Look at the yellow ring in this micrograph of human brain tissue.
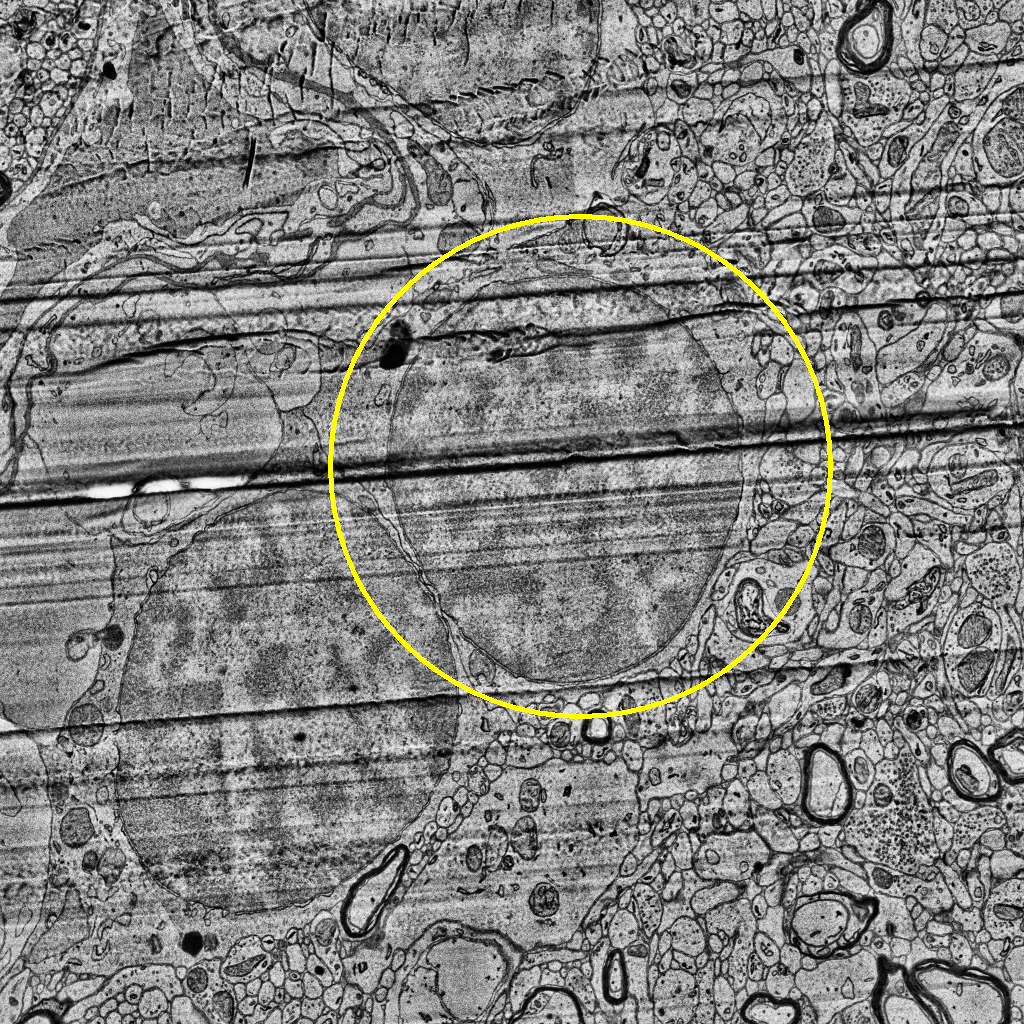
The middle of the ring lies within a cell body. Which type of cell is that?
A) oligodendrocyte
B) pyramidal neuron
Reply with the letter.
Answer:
A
